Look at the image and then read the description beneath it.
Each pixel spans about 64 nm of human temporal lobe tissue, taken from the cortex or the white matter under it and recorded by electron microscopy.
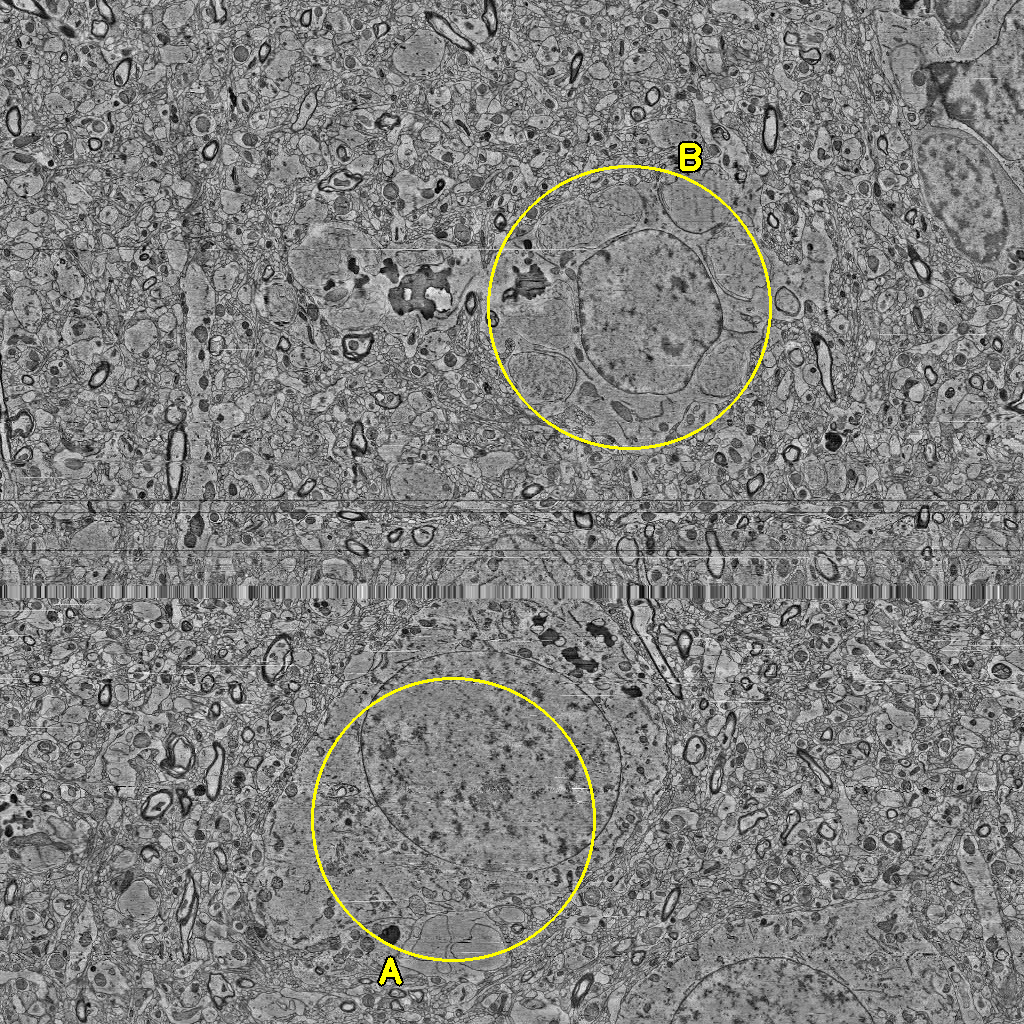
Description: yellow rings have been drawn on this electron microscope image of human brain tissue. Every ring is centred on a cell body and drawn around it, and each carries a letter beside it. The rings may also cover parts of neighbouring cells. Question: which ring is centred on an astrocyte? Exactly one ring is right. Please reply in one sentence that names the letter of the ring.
It is ring B.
